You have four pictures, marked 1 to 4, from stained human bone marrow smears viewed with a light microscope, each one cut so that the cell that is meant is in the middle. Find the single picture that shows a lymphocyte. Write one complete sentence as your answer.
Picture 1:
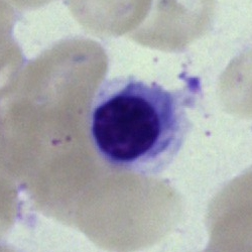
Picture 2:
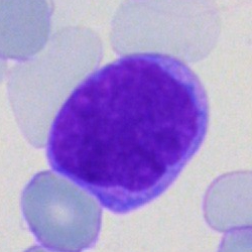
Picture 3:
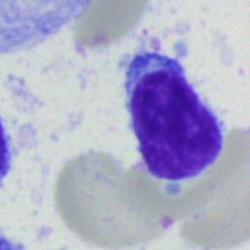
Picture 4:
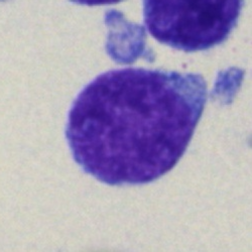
Picture 3 is the one that shows the lymphocyte.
